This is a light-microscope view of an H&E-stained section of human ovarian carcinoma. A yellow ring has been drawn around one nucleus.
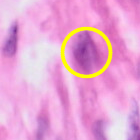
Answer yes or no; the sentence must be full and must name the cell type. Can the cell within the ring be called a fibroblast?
Yes, classifying the cell within the ring as a fibroblast is accurate.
